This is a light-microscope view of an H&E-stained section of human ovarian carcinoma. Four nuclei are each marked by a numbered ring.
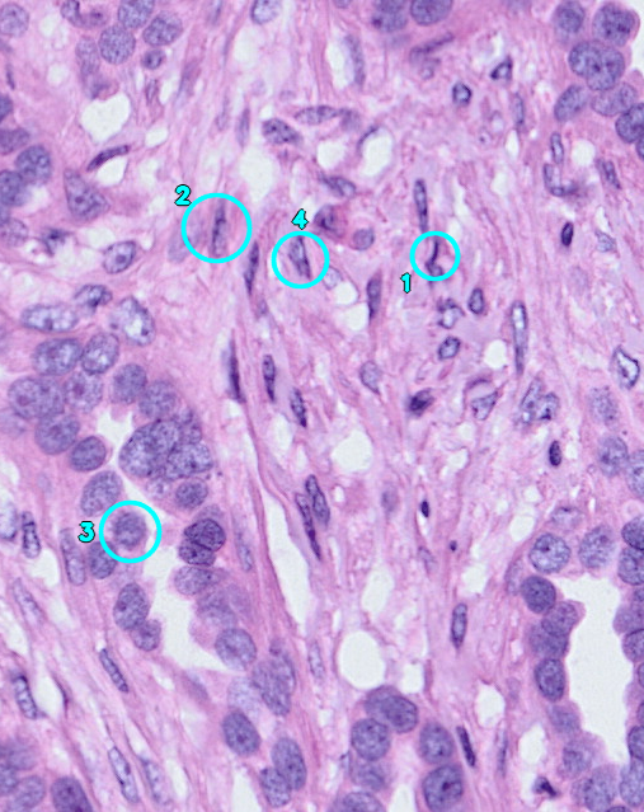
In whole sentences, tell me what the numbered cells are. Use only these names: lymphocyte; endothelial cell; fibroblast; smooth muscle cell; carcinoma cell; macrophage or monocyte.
Cell 1 is a fibroblast, cell 2 is a fibroblast, cell 3 is a carcinoma cell and cell 4 is a fibroblast.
